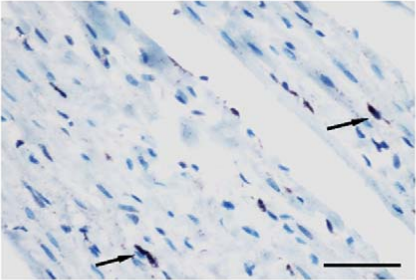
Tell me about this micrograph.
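The background is pale bluish, and the nuclei are elongated blue ovals aligned with the fibres. Several nuclei are much darker, a brown to purplish-black, and two of them are pointed out by arrows. These dark nuclei are slender and dense, lying among ordinary blue nuclei in the muscle bundles. Faint small reddish-brown dots are also sprinkled through the tissue, but the clearly stained nuclei are the ones that stand out.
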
